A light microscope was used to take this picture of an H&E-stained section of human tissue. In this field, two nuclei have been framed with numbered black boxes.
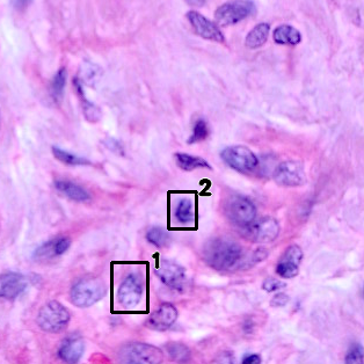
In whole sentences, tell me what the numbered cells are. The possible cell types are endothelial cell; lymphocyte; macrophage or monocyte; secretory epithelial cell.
Cell 1 is an endothelial cell. Cell 2 is a lymphocyte.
